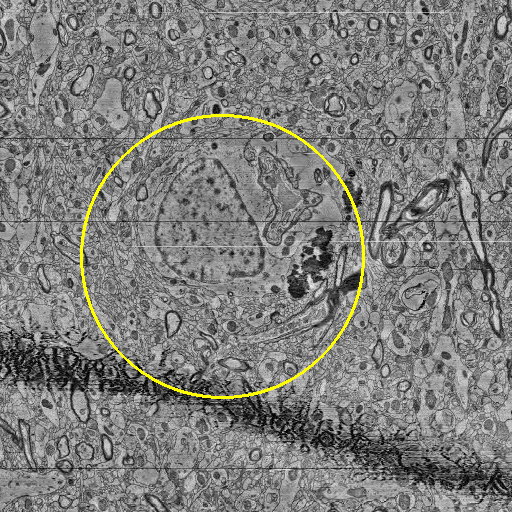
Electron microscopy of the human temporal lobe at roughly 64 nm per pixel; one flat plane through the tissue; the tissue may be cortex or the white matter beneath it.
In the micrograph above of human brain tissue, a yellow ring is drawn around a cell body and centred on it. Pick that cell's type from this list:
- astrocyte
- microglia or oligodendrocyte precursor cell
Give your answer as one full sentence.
Going by the list, a microglial cell or oligodendrocyte precursor cell is the cell on which the yellow ring is centred.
